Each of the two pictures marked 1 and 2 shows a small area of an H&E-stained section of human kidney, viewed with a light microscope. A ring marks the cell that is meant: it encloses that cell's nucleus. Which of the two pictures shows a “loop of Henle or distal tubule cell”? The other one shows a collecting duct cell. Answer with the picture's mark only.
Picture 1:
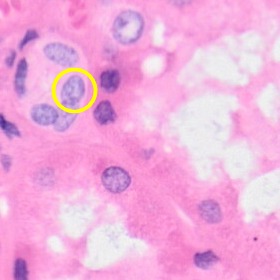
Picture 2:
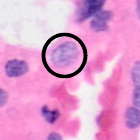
2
